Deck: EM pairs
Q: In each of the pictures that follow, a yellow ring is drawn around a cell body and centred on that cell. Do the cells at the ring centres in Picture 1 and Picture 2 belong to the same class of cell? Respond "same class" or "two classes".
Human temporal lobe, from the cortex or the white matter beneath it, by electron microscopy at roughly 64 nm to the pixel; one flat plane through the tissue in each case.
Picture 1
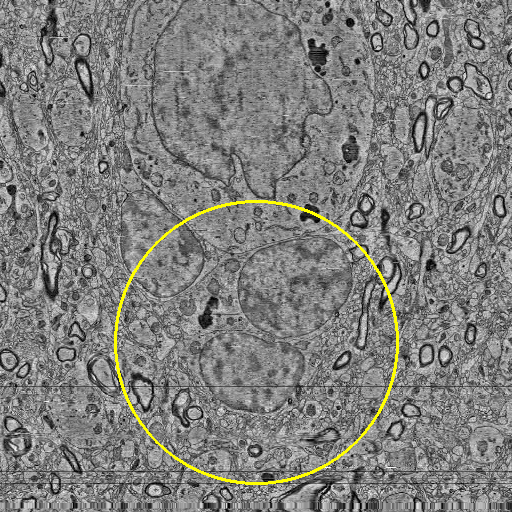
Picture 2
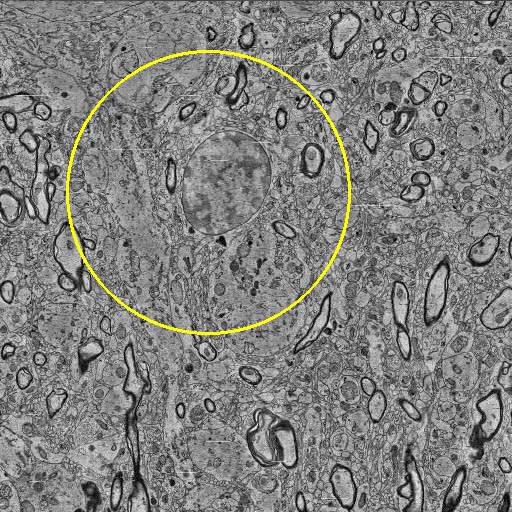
two classes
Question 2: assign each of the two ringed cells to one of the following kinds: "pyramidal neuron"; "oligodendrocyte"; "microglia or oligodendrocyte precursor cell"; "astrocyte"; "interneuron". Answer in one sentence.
The two cells are an oligodendrocyte in the first picture and a microglial cell or oligodendrocyte precursor cell in the second.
